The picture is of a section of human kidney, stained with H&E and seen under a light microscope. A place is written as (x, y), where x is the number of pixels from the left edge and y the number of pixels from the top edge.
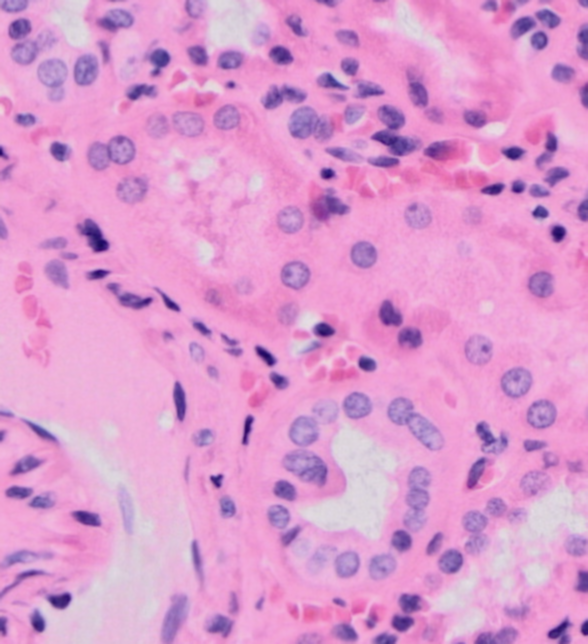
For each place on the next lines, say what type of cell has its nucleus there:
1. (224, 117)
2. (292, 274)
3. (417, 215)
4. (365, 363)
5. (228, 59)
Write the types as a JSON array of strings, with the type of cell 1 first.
["proximal tubule cell", "proximal tubule cell", "proximal tubule cell", "endothelial cell", "loop of Henle or distal tubule cell"]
